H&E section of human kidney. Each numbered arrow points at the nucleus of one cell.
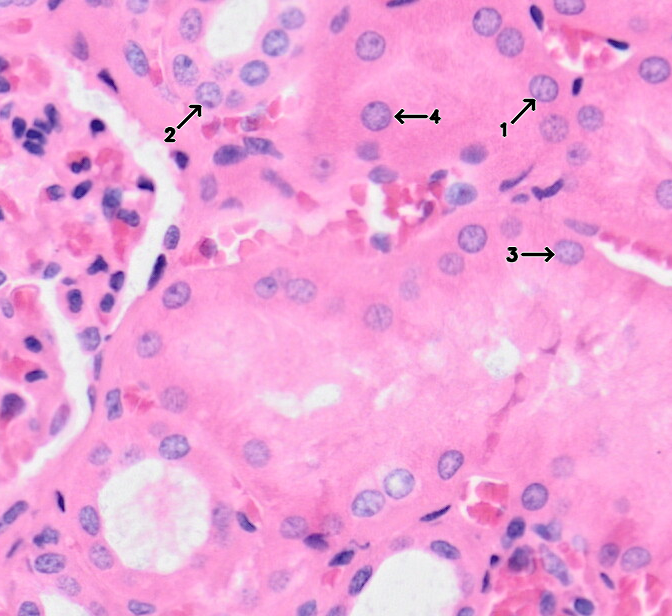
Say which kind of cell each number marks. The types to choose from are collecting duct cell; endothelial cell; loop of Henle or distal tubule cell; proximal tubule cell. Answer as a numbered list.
1. proximal tubule cell
2. collecting duct cell
3. proximal tubule cell
4. proximal tubule cell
